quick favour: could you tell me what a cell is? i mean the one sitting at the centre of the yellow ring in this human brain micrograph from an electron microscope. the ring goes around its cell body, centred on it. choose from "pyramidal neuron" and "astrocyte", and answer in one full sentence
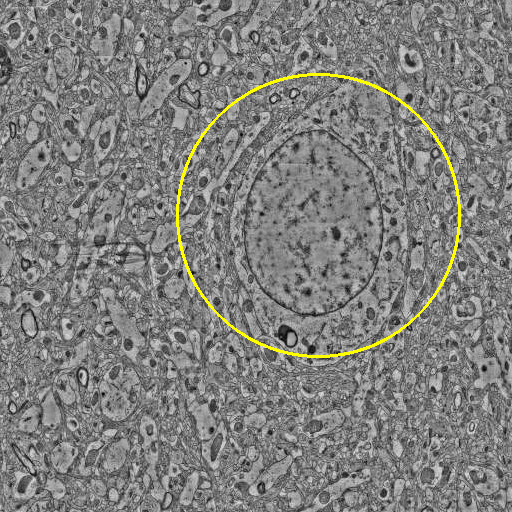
That's a pyramidal neuron, the cell sitting at the centre of the yellow ring.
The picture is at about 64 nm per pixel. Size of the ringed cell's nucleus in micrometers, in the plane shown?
The ringed cell's nucleus is about 12 micrometres long and 9 micrometres wide in this plane.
